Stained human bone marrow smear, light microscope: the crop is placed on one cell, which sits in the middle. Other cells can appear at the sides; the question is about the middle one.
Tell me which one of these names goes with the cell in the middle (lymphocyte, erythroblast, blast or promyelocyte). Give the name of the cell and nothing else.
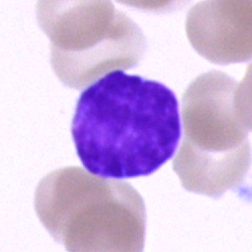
lymphocyte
